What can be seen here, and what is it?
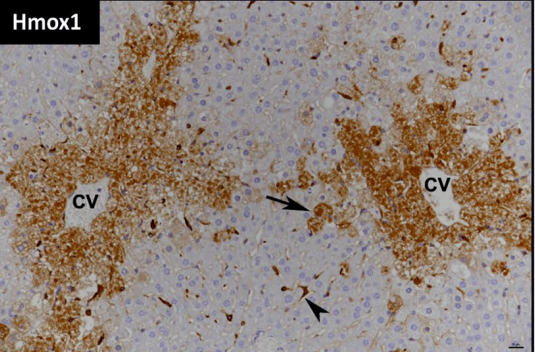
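Liver lobules in which the hepatocytes around two central veins form broad, irregular zones of intense brown staining. The stained cells are large and polygonal, and the staining fills their cytoplasm, partly hiding the nuclei. The edges of these zones are ragged, with small groups of stained hepatocytes lying apart from them among unstained liver cells. The tissue between the zones consists of unstained hepatocytes with round blue nuclei in cords, separated by sinusoids.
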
